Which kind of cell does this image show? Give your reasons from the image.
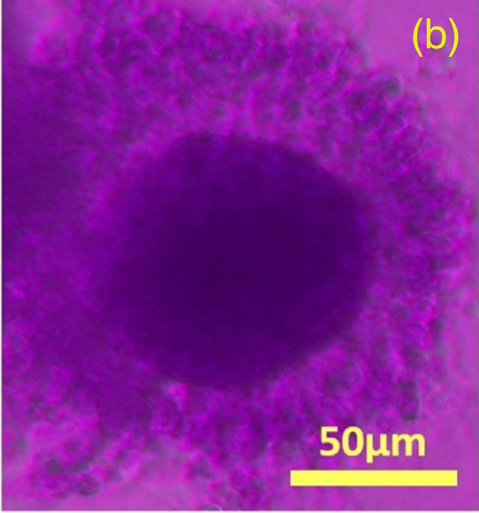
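It is ringed by many much smaller rounded cells.
Oocytes.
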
